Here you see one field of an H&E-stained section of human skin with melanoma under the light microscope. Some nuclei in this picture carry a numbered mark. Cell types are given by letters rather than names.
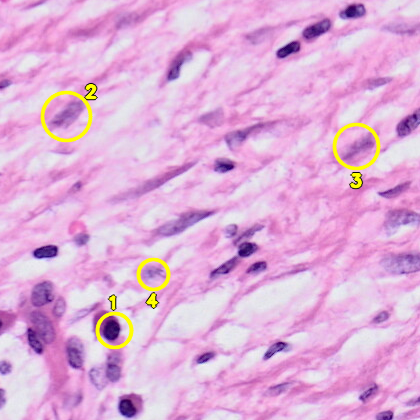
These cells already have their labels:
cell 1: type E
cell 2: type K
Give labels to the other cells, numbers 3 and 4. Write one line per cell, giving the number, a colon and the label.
3: type K
4: type K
